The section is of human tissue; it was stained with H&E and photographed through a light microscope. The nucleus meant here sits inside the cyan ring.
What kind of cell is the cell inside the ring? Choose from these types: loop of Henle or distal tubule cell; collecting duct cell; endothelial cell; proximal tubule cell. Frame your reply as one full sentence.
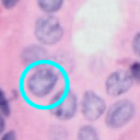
Histopathologically, the cell inside the ring is a collecting duct cell.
